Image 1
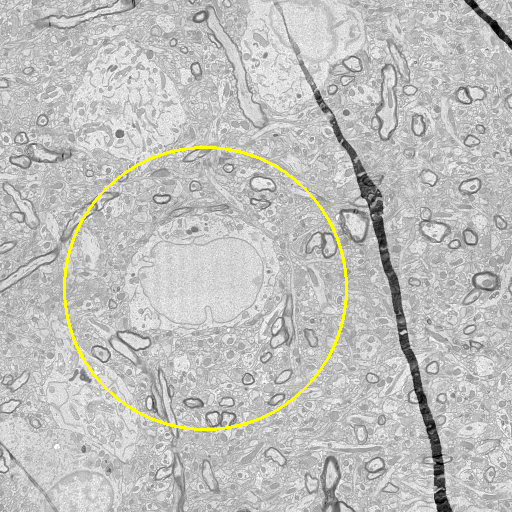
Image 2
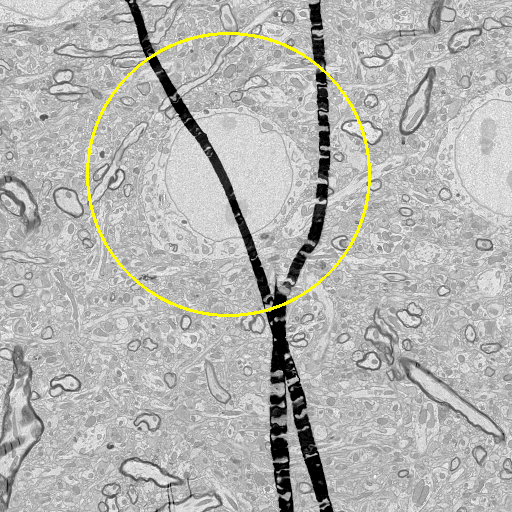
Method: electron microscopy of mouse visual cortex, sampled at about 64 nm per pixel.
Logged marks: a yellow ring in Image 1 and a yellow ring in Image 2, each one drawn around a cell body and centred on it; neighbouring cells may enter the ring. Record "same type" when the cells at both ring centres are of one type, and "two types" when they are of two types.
same type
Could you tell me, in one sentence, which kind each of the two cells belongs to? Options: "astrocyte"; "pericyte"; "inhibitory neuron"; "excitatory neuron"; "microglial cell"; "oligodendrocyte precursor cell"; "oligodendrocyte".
Each of the ringed cells, first and second, is an excitatory neuron.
